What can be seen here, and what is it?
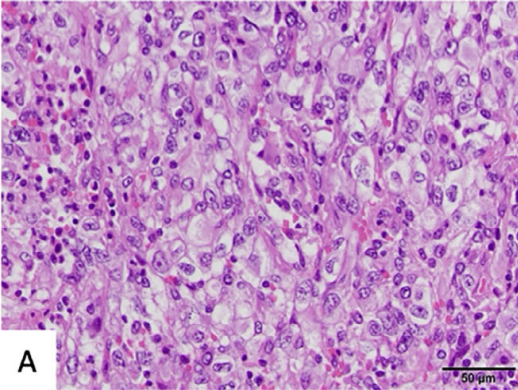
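Solid sheets of large tumour cells, partly spindle-shaped and partly polygonal, with pale to clear pink cytoplasm and ill-defined borders. Nuclei are large, oval and vesicular with distinct nucleoli and moderate variation in size. Small dark round inflammatory cells gather at the left edge.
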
